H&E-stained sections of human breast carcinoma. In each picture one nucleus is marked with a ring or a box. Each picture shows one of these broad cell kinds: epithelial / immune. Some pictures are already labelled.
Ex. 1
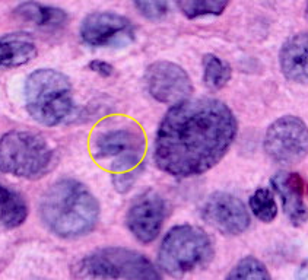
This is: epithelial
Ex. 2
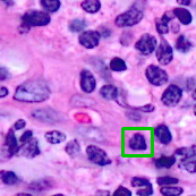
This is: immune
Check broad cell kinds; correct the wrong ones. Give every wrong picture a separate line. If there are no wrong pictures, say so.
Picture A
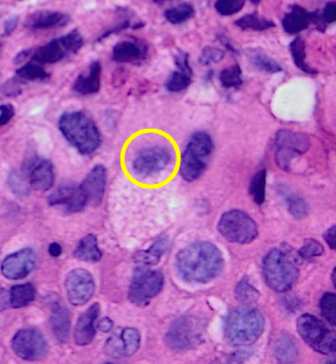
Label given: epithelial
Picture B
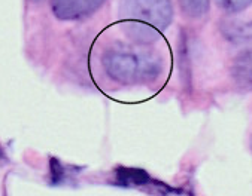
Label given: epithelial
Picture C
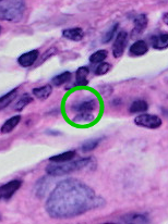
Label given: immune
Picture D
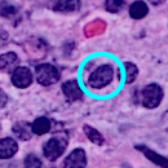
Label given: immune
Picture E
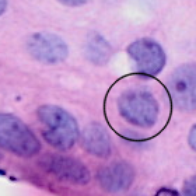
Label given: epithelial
Every label is right.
